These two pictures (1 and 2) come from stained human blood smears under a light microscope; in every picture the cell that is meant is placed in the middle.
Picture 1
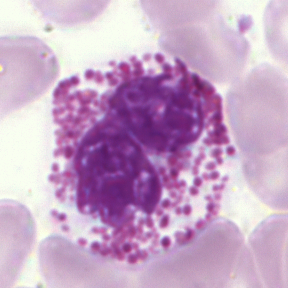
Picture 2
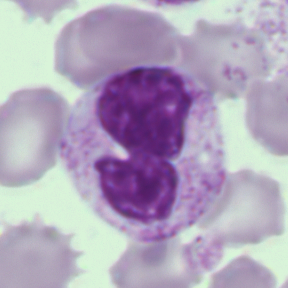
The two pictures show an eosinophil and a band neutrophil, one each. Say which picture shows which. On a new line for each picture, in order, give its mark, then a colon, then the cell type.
1: eosinophil
2: band neutrophil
